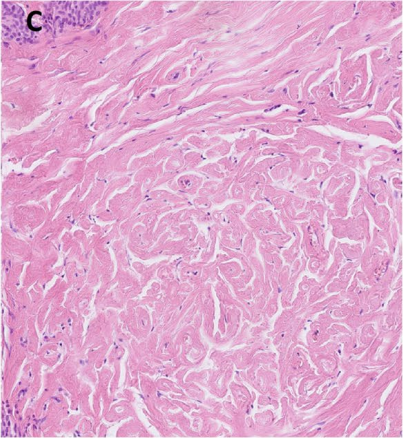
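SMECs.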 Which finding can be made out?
Fibrohyaline sclerotic features resembling storiform collagenoma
